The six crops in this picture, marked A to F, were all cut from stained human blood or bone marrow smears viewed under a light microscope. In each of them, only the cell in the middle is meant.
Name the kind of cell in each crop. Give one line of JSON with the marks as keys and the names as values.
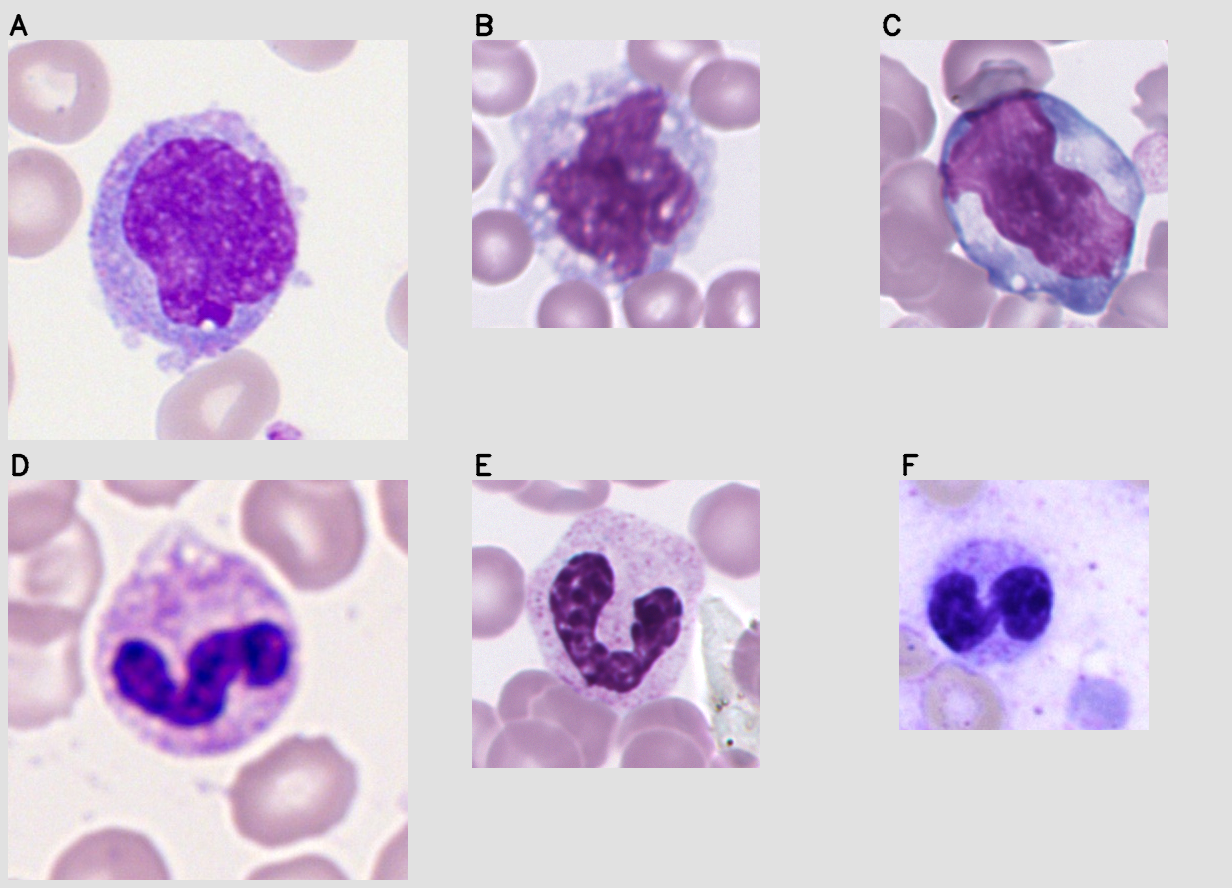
{"A": "monocyte", "B": "monocyte", "C": "monocyte", "D": "segmented neutrophil", "E": "segmented neutrophil", "F": "segmented neutrophil"}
